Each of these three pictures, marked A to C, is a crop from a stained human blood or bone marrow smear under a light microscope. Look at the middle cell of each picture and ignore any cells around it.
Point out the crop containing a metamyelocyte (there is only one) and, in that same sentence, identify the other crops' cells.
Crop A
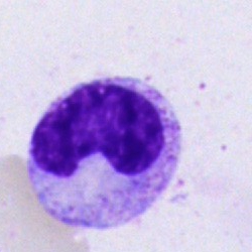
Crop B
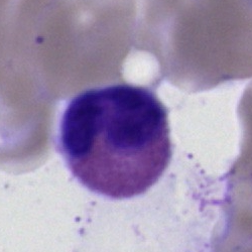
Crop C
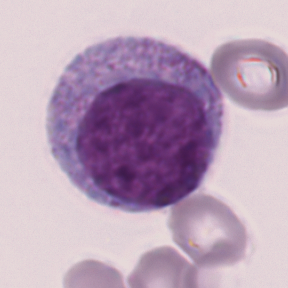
Crop A shows a metamyelocyte, and meanwhile crop B is an eosinophil and crop C is a promyelocyte.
